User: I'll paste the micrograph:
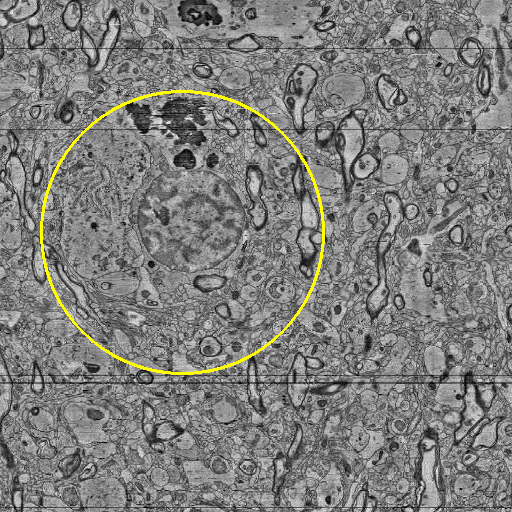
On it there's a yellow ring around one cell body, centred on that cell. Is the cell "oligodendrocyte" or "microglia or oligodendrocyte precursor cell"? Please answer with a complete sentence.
The cell ringed in yellow is an oligodendrocyte.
